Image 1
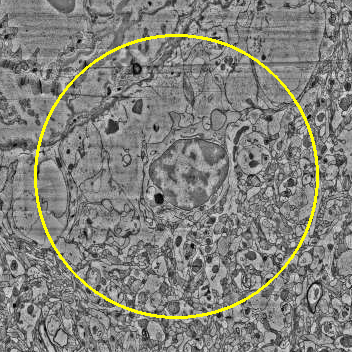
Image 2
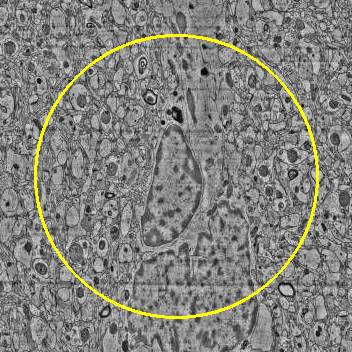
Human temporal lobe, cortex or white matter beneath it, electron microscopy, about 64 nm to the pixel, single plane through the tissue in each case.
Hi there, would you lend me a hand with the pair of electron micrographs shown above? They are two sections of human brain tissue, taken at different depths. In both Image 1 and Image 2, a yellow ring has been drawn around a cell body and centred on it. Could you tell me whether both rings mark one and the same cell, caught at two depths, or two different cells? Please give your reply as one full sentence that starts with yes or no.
No, the two rings were placed on two different cells.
